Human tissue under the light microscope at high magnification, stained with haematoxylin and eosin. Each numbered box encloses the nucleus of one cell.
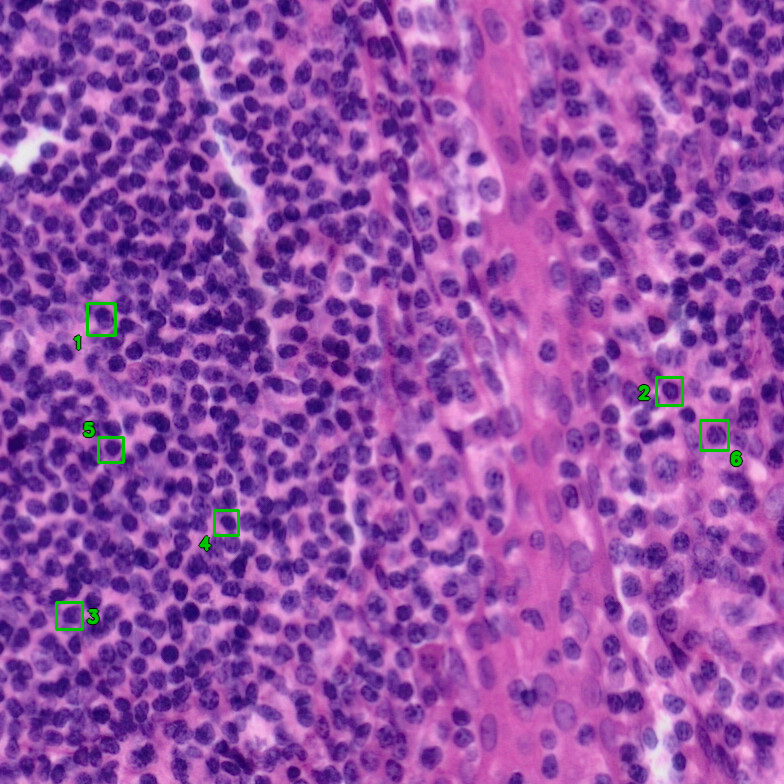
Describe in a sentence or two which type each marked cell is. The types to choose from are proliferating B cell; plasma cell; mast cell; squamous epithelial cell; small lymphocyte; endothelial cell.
Cells 1, 3, 4 and 5 are small lymphocytes. Cells 2 and 6 are plasma cells.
